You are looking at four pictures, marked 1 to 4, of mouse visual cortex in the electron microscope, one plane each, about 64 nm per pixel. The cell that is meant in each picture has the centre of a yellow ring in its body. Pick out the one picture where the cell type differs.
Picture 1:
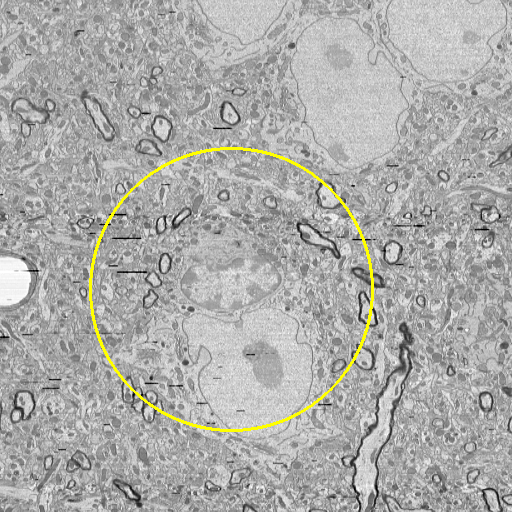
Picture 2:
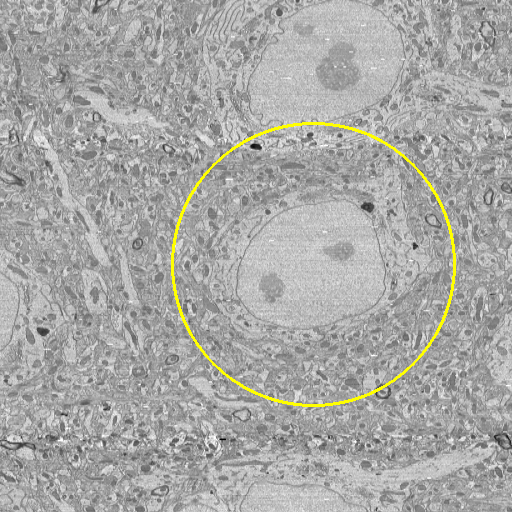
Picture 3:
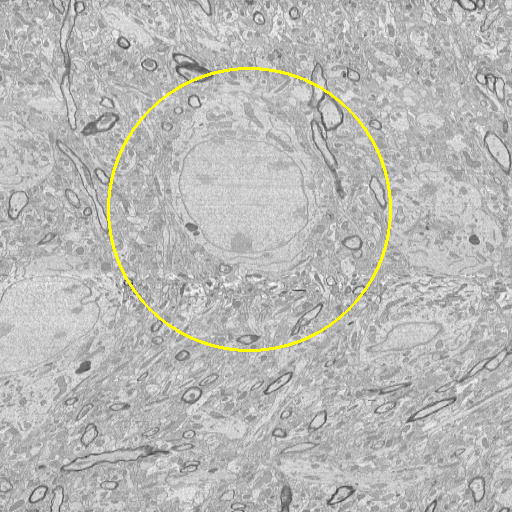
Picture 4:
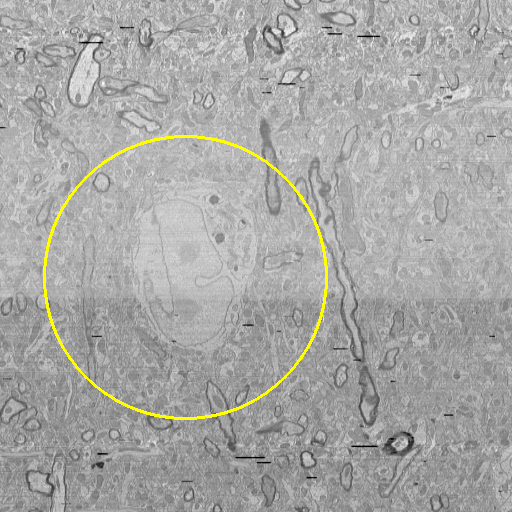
Picture 1 differs, because its cell is an oligodendrocyte and the rest are excitatory neurons.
